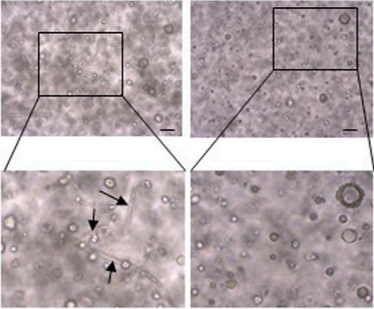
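In the enlarged left-hand field, a few dendritic-like cells stand out as pale, elongated shapes with thin, straight or slightly branching processes that stretch between the spheres, marked by arrows. In the right-hand fields, such elongated cells with processes are hardly seen. Instead, the round spheres dominate, and some of them are larger, with a dark rim and a lighter centre. The spheres are spread loosely, without any ordered arrangement.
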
